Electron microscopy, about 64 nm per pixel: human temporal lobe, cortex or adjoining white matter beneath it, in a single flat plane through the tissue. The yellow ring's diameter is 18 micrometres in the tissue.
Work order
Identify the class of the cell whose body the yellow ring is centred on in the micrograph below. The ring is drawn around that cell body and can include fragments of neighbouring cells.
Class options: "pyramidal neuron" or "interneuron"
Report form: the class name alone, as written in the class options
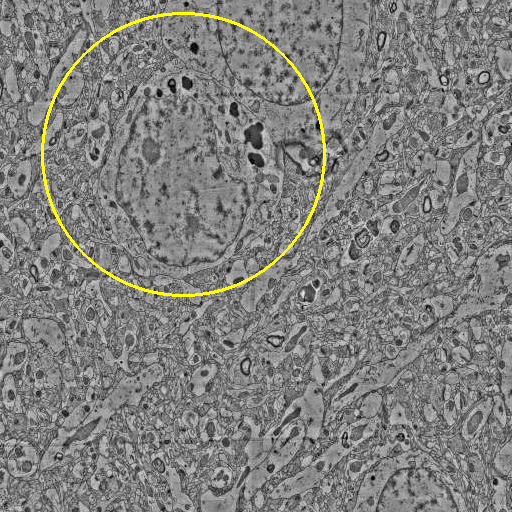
interneuron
